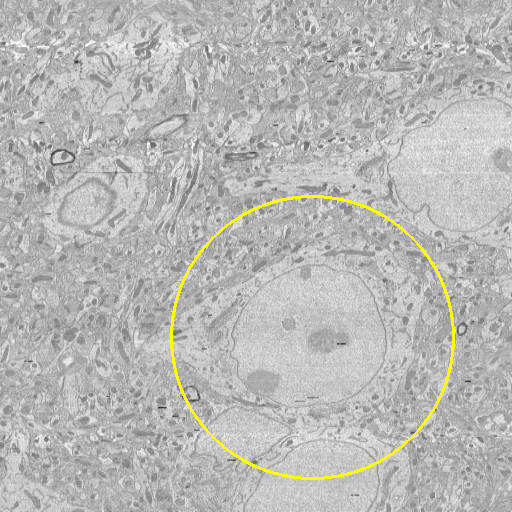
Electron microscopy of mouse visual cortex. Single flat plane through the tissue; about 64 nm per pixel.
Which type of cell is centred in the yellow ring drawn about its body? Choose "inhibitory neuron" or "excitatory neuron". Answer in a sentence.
The yellow ring surrounds the cell body of an excitatory neuron.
